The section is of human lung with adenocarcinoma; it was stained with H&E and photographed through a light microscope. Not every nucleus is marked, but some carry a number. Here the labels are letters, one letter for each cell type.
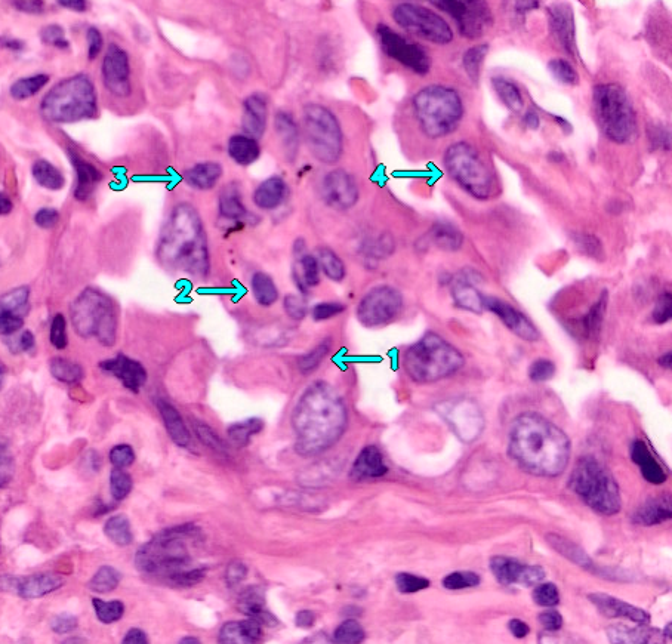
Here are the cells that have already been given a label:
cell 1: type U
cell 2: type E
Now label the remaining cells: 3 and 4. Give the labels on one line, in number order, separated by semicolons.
type E; type U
